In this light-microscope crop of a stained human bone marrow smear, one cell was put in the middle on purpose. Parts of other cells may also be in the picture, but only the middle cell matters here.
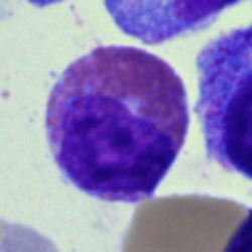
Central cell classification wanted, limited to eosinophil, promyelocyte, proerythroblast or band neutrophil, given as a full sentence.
The cell shown in the center of this light-microscope crop is an eosinophil.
